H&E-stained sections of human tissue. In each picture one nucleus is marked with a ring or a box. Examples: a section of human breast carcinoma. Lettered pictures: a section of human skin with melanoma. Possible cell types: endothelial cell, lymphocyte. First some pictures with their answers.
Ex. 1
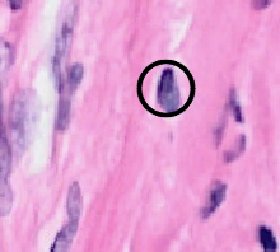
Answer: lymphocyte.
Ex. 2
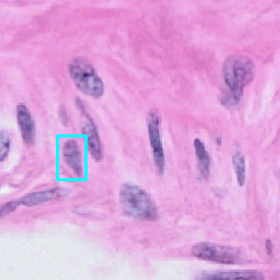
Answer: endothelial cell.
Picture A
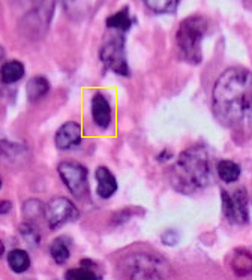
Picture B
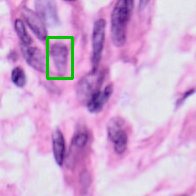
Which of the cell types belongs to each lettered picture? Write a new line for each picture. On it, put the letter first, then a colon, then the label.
A: lymphocyte.
B: endothelial cell.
